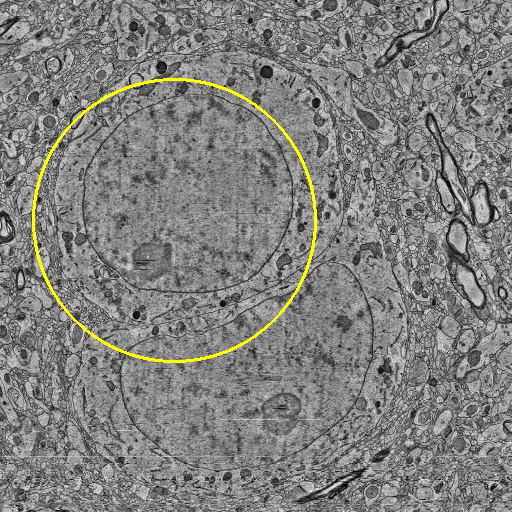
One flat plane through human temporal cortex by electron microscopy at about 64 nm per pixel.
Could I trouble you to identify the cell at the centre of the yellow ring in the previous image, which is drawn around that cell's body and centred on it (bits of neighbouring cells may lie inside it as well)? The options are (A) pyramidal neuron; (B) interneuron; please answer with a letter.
A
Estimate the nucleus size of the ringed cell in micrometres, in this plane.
Roughly 13 micrometers across in this plane.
